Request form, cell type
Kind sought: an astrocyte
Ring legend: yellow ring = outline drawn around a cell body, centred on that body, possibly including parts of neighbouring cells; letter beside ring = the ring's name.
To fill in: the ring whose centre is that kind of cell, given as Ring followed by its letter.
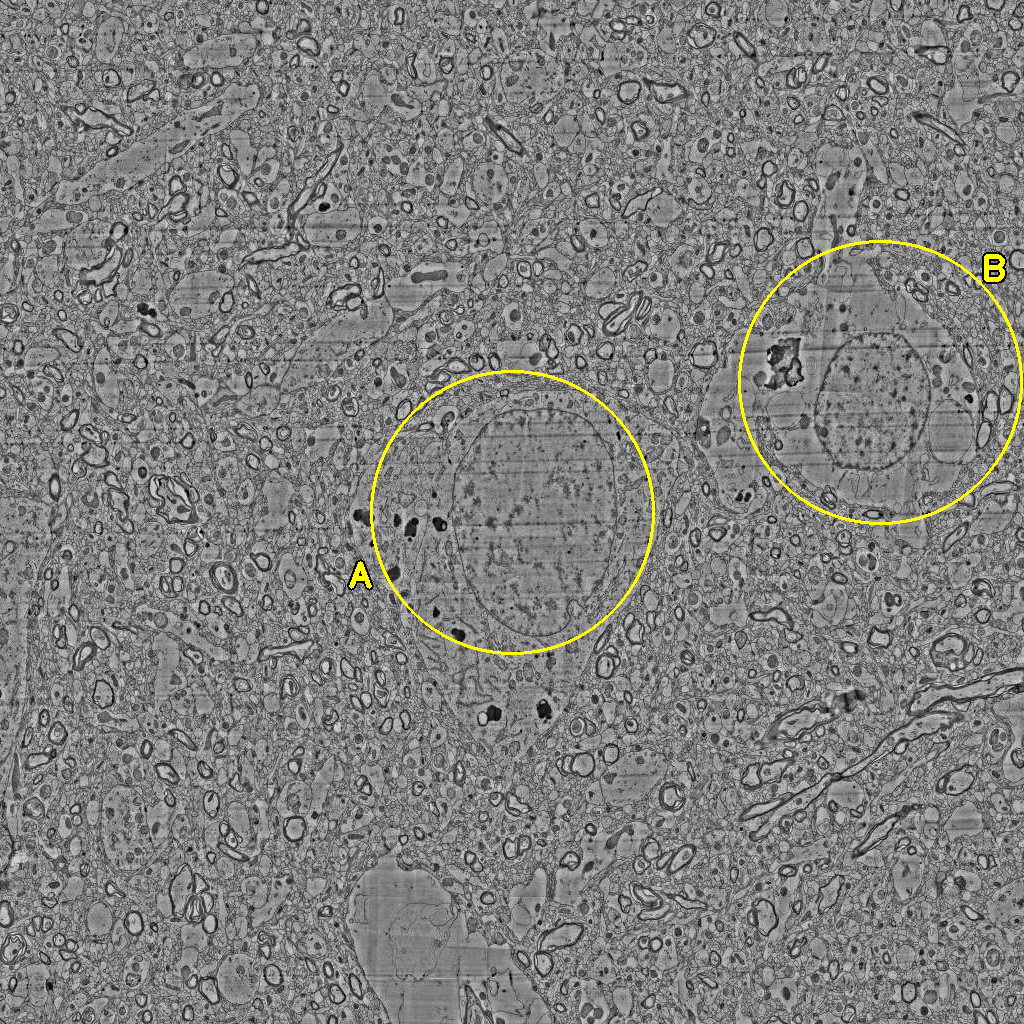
Ring B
